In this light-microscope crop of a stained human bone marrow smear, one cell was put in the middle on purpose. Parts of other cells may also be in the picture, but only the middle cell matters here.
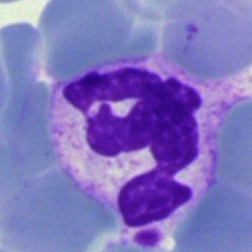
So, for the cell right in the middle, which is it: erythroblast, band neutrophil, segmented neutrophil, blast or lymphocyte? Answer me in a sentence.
Classification of the middle cell gives a segmented neutrophil.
